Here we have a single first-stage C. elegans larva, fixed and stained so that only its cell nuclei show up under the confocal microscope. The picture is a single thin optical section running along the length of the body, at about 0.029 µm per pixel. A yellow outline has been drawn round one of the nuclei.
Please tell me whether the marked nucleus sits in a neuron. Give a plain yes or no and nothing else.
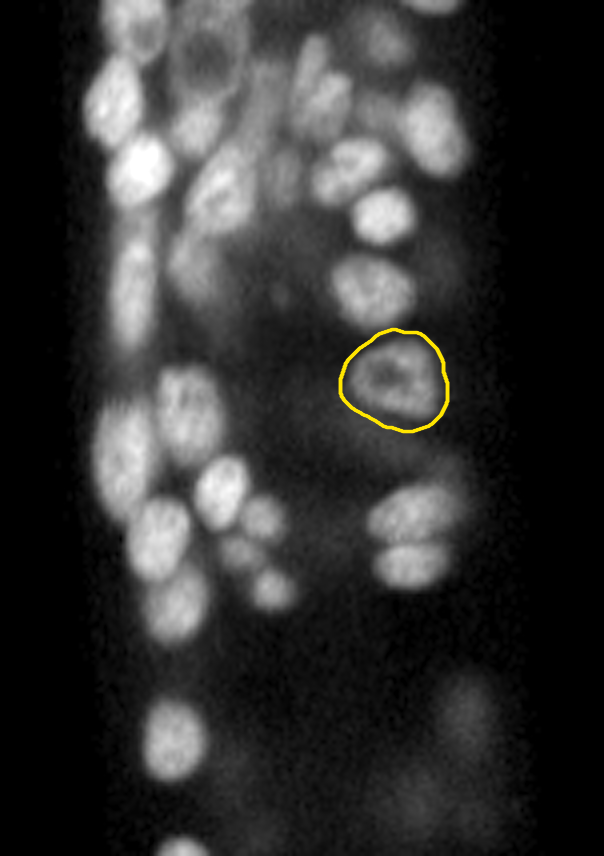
no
